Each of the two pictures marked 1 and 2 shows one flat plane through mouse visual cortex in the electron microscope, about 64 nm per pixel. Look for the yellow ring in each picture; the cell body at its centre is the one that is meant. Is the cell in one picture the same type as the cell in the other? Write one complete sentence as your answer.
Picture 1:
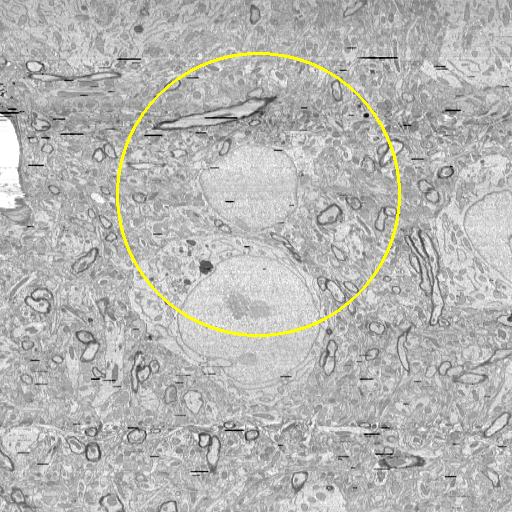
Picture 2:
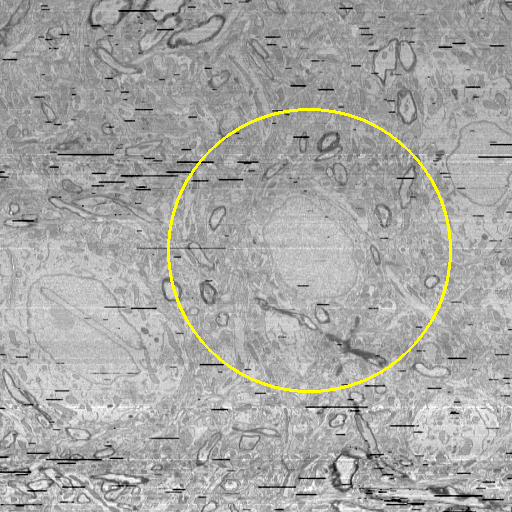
Yes, both cells are astrocytes.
